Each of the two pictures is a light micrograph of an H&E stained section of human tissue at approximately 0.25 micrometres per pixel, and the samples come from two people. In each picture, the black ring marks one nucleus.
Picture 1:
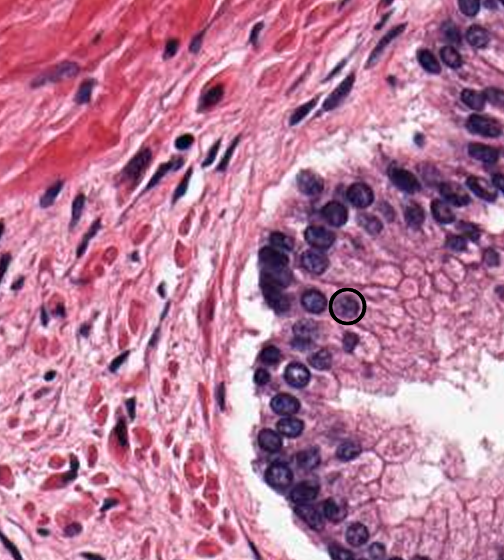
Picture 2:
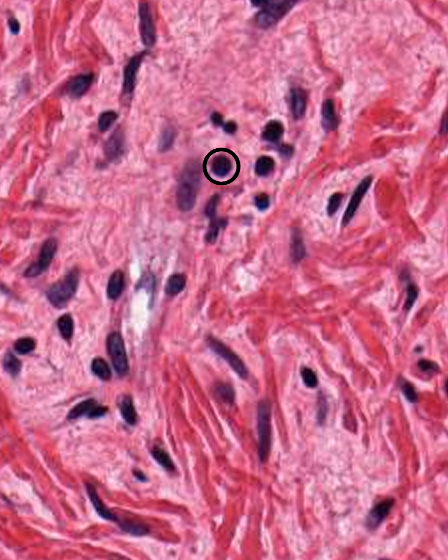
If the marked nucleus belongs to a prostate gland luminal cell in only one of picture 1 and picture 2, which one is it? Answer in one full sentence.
The marked nucleus belongs to a prostate gland luminal cell only in picture 1.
